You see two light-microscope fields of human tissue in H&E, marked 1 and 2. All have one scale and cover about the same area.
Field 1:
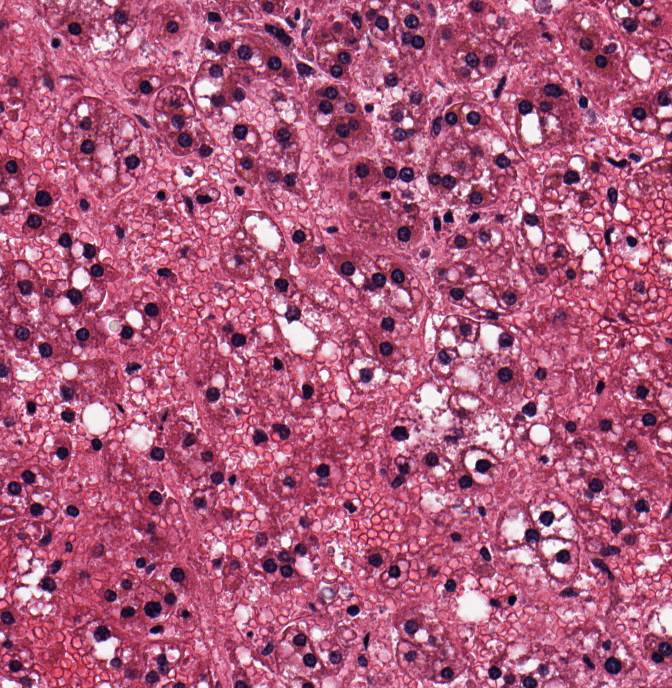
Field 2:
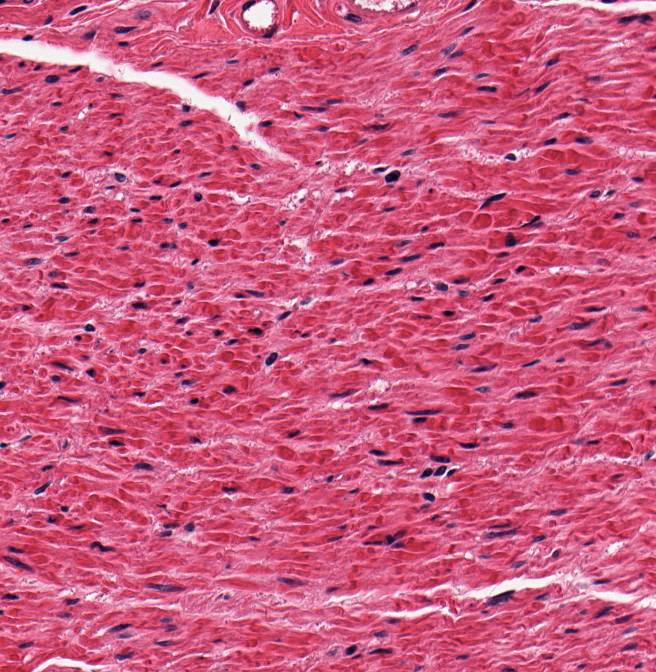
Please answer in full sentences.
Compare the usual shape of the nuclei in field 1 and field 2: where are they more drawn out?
It is field 2 whose nuclei are the more elongated.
